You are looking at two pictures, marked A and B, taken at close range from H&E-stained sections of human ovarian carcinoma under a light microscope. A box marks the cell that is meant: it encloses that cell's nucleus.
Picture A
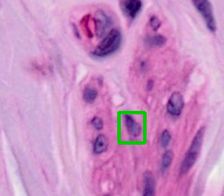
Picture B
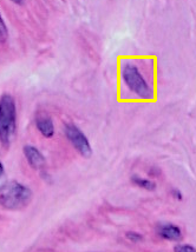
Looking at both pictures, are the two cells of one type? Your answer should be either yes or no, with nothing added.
yes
